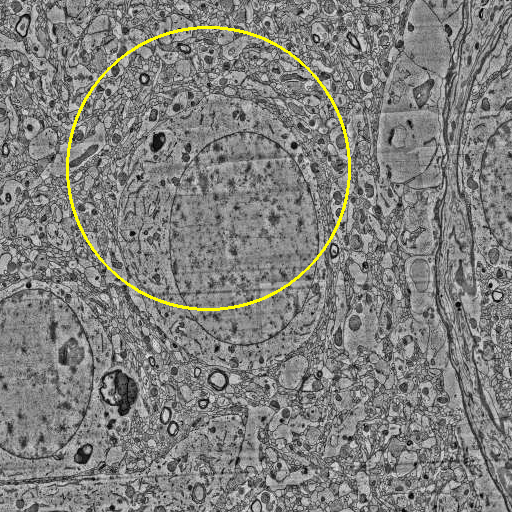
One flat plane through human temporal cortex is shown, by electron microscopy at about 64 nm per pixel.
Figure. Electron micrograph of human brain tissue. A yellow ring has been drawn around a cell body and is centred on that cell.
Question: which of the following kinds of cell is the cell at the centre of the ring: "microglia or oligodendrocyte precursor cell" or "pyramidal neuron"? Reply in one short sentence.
The cell at the centre of the ring is a pyramidal neuron.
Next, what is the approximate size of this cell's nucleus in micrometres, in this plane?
Roughly 14 by 10 micrometres in this plane, for the nucleus of the ringed cell.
